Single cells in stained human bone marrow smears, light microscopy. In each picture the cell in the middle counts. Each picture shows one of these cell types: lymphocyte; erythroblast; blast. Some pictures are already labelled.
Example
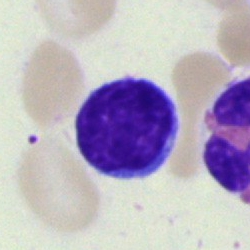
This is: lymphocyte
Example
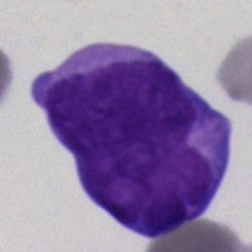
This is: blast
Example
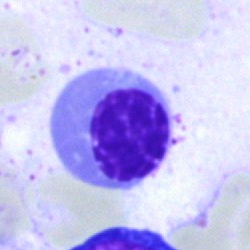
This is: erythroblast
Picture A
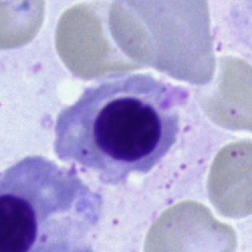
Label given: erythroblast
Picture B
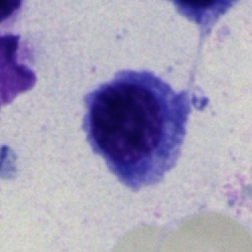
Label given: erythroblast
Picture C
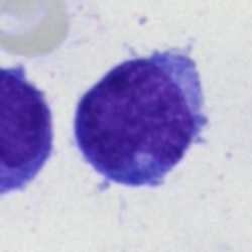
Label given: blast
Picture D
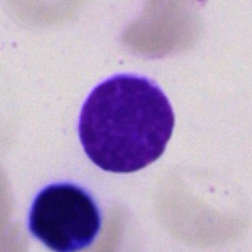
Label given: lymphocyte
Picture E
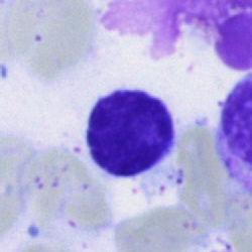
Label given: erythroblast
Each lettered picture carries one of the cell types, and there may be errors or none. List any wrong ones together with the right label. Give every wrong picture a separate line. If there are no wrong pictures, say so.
E should be lymphocyte, not erythroblast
